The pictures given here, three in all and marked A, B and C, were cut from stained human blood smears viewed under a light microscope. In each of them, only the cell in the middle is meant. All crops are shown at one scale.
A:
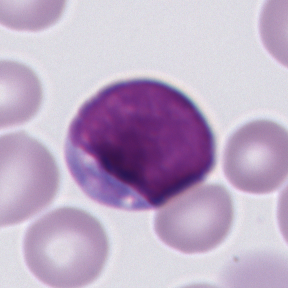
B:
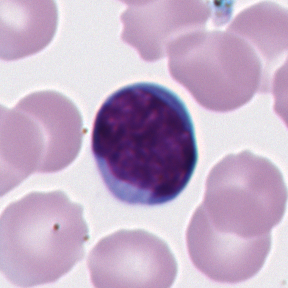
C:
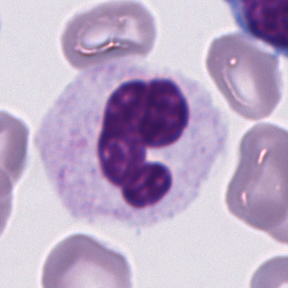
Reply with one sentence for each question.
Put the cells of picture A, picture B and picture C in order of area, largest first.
Going down, they run C, A, B.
